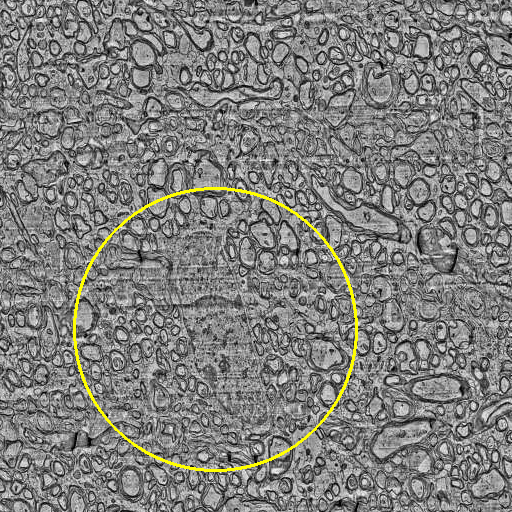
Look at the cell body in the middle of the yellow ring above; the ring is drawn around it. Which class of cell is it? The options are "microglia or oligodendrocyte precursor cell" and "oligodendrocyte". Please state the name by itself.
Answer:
microglia or oligodendrocyte precursor cell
